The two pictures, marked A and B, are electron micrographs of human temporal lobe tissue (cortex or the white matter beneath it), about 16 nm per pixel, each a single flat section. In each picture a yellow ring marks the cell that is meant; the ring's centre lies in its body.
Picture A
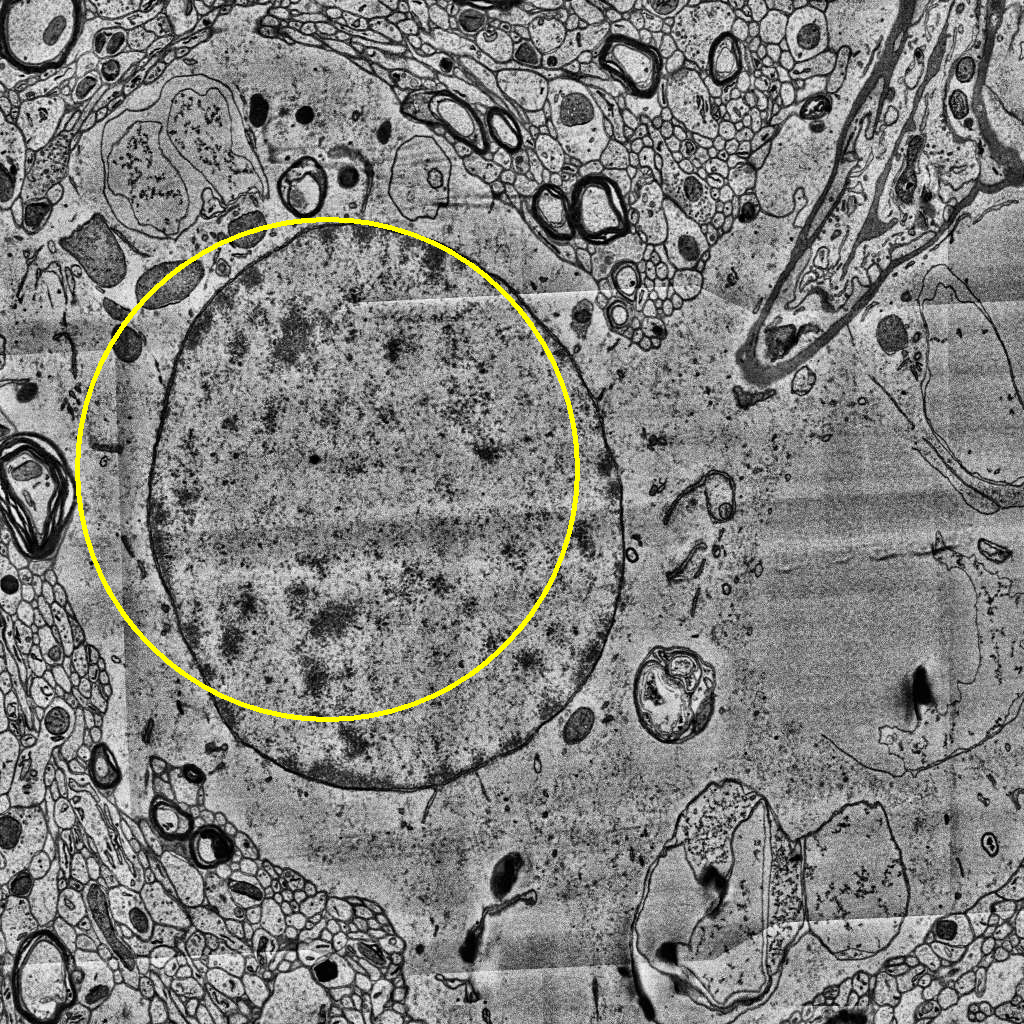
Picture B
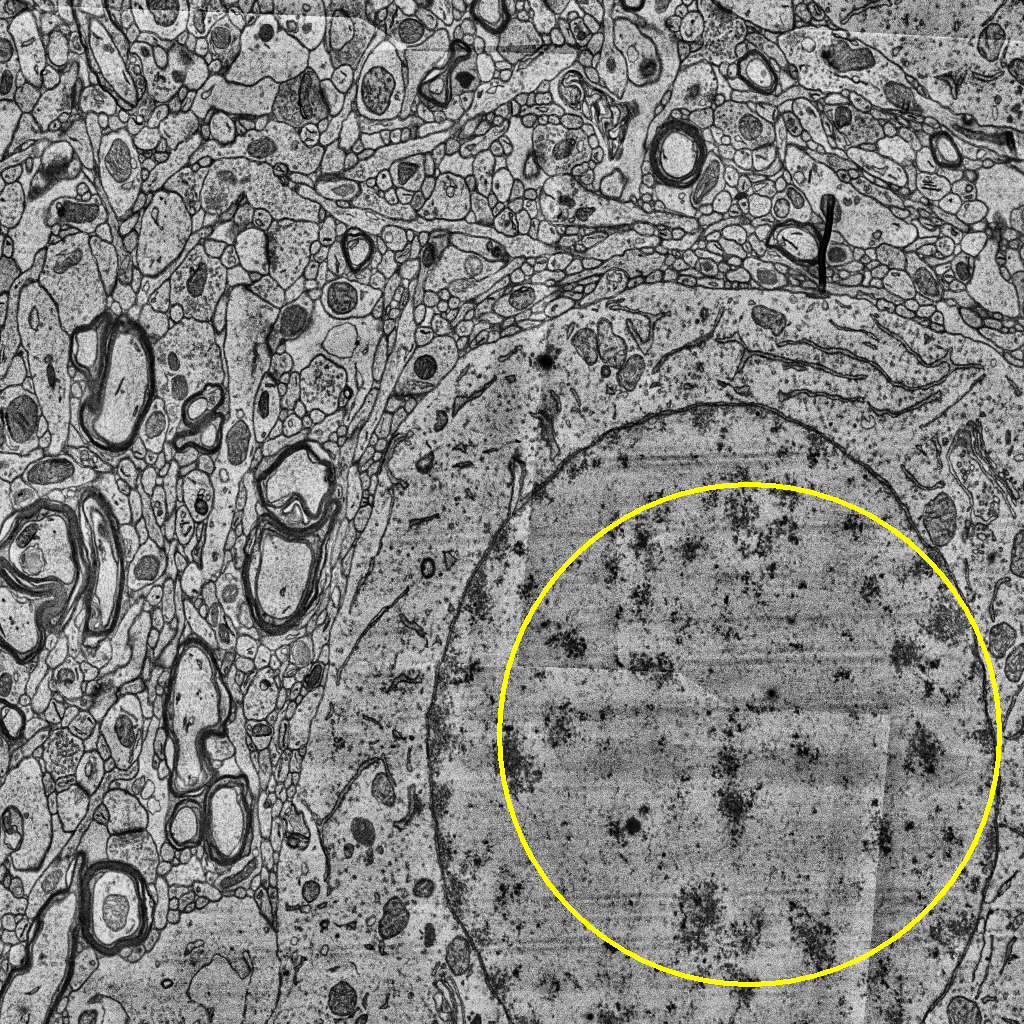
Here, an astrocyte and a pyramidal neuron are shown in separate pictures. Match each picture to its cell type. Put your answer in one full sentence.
Picture A is of an astrocyte, and picture B is of a pyramidal neuron.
